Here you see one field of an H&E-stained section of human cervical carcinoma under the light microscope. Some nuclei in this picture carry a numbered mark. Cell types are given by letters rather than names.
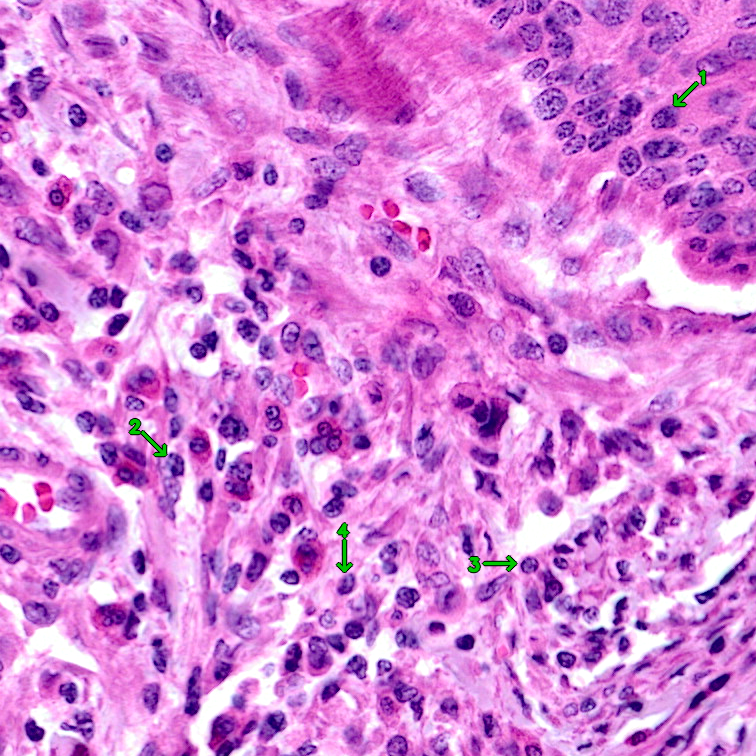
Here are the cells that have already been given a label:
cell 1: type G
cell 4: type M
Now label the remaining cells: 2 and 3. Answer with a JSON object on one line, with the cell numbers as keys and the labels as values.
{"2": "type M", "3": "type M"}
